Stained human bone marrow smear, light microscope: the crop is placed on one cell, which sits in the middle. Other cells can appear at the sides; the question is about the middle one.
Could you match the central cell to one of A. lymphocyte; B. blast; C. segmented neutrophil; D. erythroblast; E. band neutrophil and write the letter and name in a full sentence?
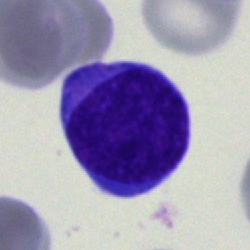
Option B gets it right: the cell in the middle is a blast.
